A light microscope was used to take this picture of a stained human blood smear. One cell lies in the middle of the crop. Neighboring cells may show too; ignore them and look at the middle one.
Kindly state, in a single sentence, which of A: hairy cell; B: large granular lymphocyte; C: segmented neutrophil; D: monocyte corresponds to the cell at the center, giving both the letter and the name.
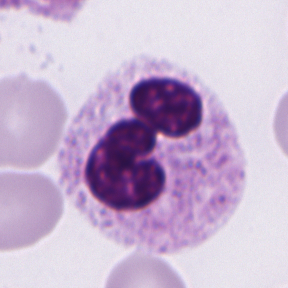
Option C is correct in naming the middle cell a segmented neutrophil.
